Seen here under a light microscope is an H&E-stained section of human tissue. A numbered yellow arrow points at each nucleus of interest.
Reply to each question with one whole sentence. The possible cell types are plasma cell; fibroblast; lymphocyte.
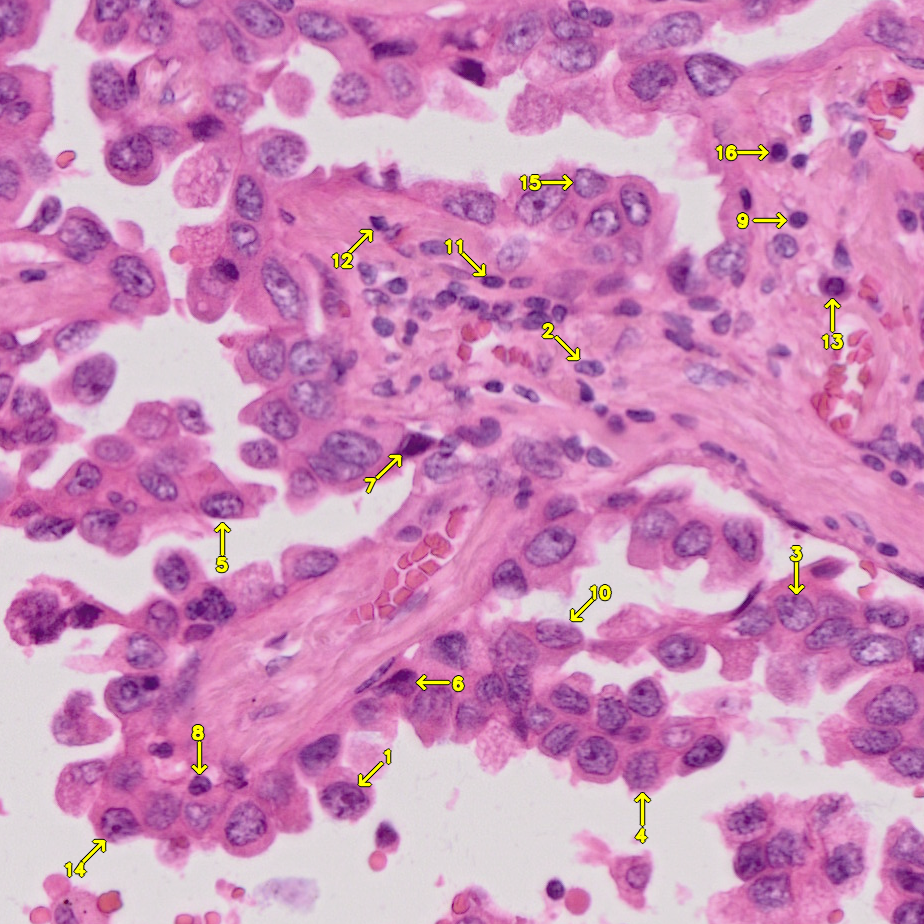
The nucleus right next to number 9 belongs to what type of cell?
The cell nearest to number 9 is a fibroblast.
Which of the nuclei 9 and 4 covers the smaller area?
The smaller nucleus is 9, and 4 covers roughly 4 times its area.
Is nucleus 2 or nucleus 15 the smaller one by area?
Number 2 is smaller, since number 15 takes up about 2 times as much area.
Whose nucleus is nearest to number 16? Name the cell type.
The cell nearest to number 16 is a lymphocyte.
